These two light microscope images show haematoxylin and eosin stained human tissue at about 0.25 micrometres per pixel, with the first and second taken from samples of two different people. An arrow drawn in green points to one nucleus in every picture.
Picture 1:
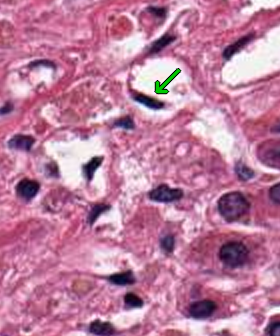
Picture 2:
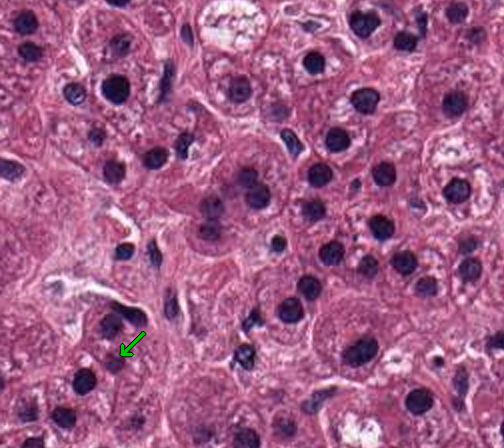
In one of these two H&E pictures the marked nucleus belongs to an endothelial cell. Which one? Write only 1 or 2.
1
